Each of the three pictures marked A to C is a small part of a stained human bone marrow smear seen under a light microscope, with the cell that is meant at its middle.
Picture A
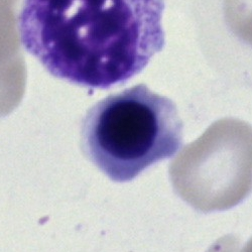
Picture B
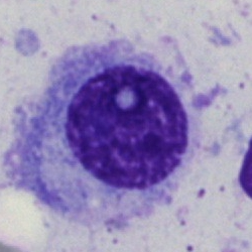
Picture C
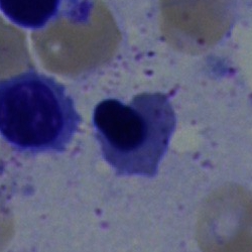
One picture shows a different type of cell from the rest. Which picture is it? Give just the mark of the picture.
B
